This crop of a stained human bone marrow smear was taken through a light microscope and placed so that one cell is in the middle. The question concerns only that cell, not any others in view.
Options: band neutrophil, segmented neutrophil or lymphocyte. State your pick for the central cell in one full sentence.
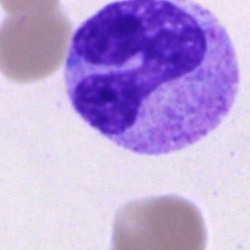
The cell at the centre of the field is a band neutrophil.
